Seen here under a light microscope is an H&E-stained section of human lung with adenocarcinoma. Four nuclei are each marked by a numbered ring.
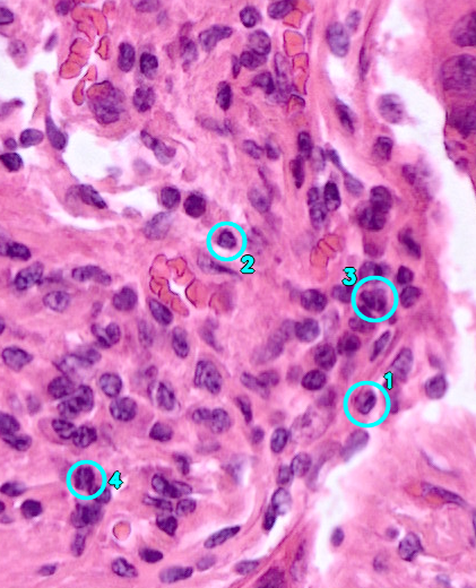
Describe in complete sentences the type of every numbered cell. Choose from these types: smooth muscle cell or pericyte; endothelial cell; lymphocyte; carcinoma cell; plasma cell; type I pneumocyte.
Cells 1, 2 and 3 are lymphocytes. Cell 4 is a plasma cell.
